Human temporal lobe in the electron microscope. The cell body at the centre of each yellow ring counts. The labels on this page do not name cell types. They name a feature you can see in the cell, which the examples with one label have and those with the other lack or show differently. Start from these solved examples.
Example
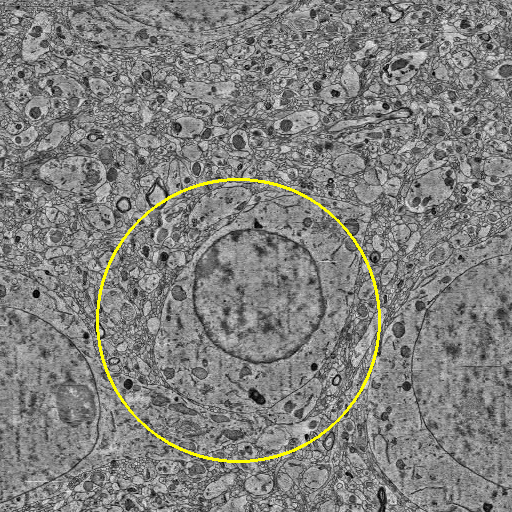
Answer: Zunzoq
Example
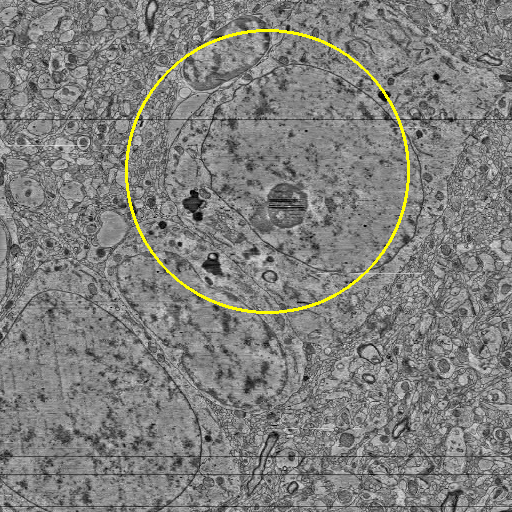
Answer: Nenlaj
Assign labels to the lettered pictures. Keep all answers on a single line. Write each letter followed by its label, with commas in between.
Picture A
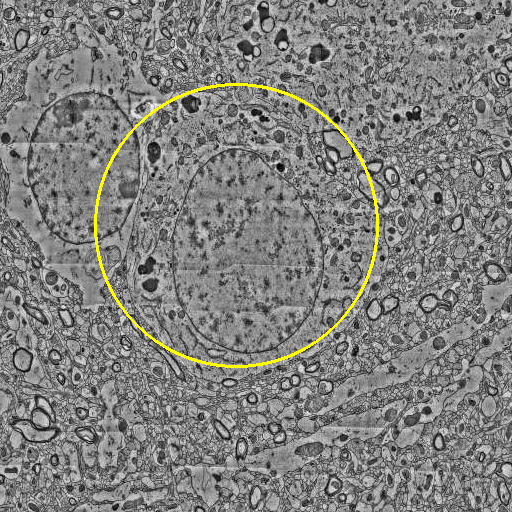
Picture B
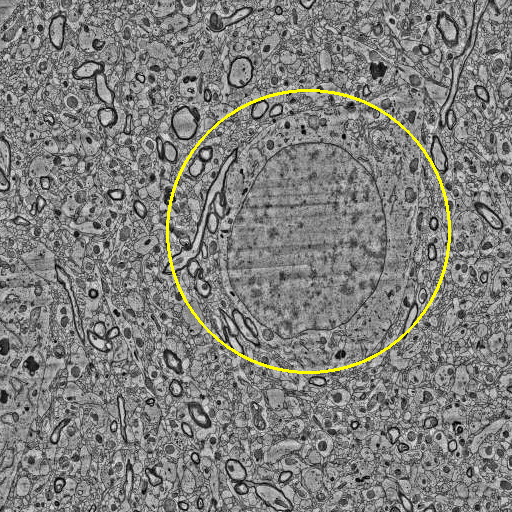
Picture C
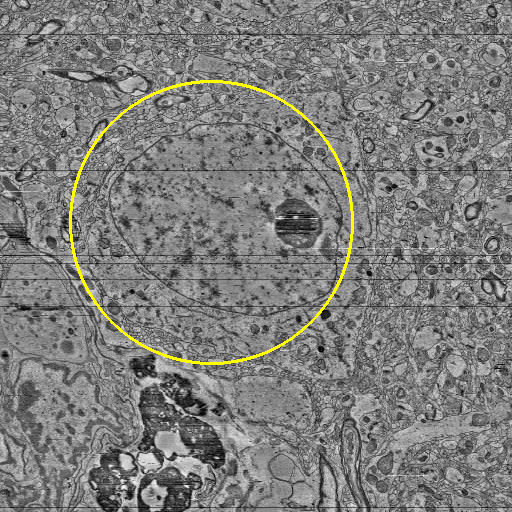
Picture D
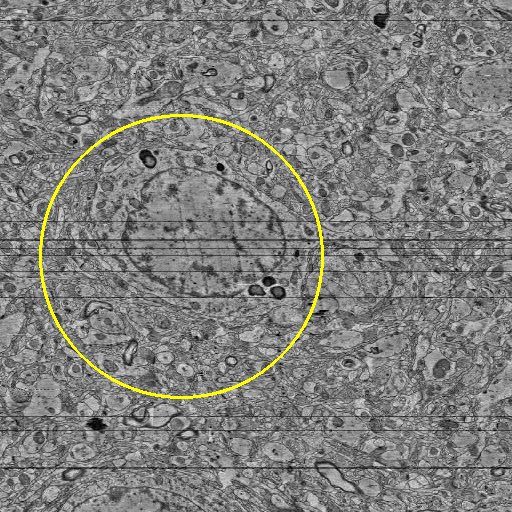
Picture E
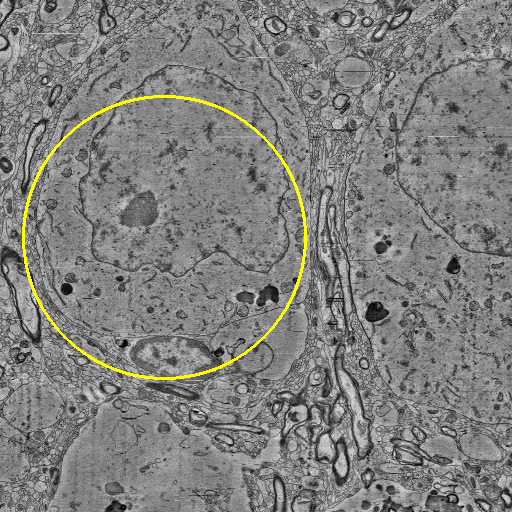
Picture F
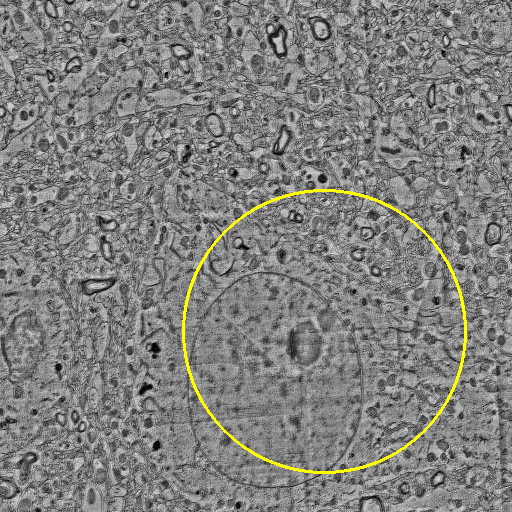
A Zunzoq, B Zunzoq, C Nenlaj, D Zunzoq, E Nenlaj, F Nenlaj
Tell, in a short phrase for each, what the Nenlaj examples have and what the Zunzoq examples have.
Seen in Nenlaj: nucleolus seen; seen in Zunzoq: no nucleolus seen.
